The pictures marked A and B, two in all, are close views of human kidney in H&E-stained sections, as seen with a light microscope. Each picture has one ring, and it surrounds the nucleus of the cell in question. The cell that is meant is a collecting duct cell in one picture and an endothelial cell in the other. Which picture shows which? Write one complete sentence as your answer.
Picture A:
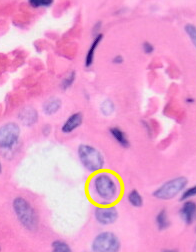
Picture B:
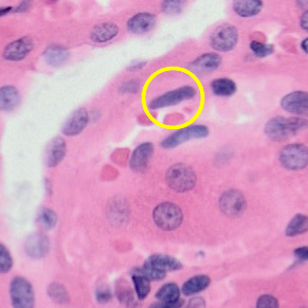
The cell in picture A is a collecting duct cell, and the one in picture B is an endothelial cell.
